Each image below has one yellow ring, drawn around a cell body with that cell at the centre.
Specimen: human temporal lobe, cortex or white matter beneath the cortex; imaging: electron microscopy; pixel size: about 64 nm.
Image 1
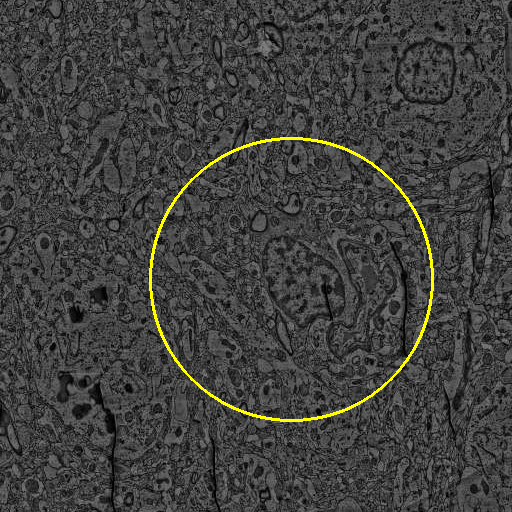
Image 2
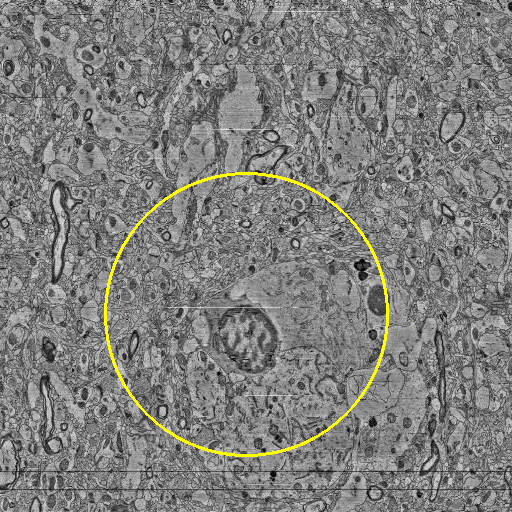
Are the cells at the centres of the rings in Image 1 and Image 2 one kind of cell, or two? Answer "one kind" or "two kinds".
one kind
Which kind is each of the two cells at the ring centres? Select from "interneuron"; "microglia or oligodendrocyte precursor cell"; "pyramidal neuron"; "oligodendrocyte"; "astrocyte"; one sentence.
In each of the two pictures, the ringed cell is an oligodendrocyte.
